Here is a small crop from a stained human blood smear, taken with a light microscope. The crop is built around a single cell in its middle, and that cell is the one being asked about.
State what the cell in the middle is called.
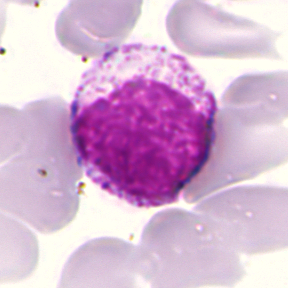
myelocyte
